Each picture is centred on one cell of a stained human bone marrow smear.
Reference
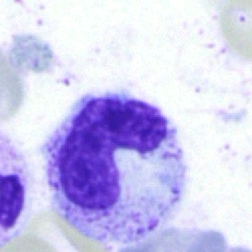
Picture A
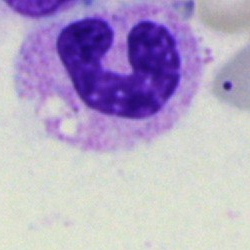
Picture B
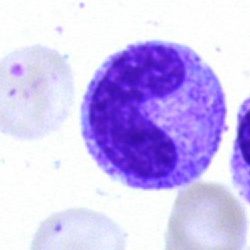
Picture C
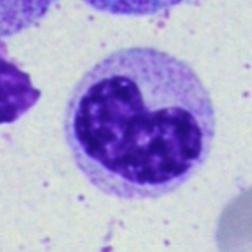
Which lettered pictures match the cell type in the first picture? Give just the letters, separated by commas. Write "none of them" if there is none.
A, B, C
